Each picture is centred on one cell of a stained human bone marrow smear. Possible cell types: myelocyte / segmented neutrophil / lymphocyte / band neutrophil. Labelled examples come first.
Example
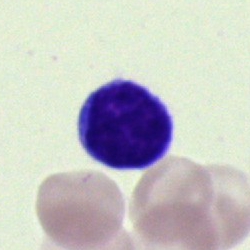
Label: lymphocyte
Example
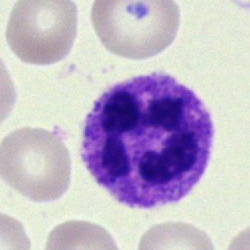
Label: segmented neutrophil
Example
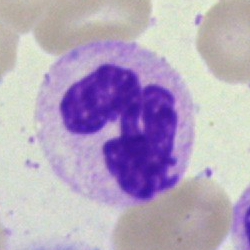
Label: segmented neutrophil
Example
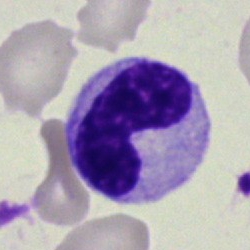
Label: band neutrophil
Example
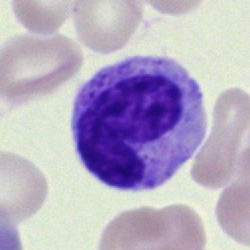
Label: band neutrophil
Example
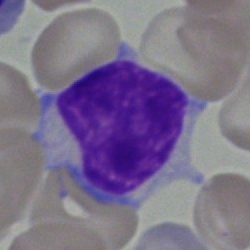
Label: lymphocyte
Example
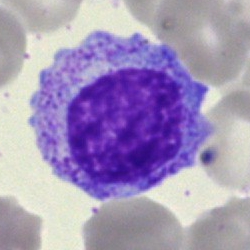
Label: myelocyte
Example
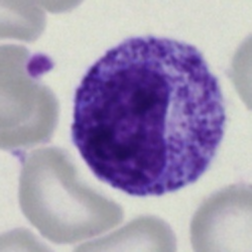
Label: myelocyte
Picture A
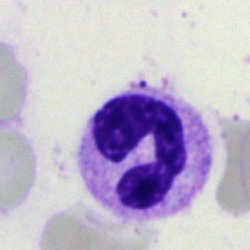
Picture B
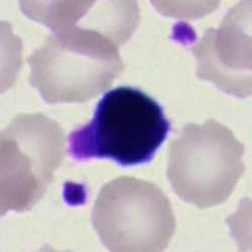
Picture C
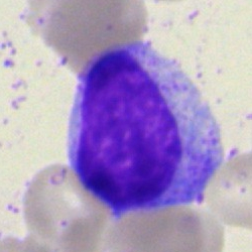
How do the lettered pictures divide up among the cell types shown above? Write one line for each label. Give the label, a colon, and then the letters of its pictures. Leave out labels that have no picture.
myelocyte: C
segmented neutrophil: A
lymphocyte: B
